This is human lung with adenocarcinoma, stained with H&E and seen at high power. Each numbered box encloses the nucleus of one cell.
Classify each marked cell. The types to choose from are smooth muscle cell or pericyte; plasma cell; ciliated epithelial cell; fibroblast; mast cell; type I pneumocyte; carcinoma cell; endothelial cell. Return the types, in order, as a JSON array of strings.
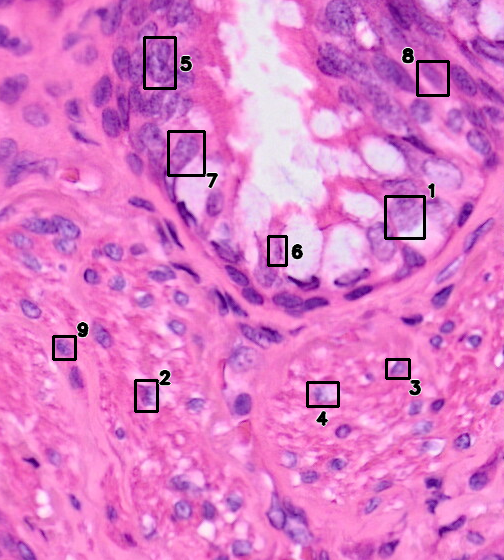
["ciliated epithelial cell", "smooth muscle cell or pericyte", "smooth muscle cell or pericyte", "smooth muscle cell or pericyte", "ciliated epithelial cell", "ciliated epithelial cell", "ciliated epithelial cell", "ciliated epithelial cell", "smooth muscle cell or pericyte"]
